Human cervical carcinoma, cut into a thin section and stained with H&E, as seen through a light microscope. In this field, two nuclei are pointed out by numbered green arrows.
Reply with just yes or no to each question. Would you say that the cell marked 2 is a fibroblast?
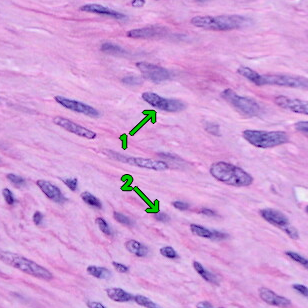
no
